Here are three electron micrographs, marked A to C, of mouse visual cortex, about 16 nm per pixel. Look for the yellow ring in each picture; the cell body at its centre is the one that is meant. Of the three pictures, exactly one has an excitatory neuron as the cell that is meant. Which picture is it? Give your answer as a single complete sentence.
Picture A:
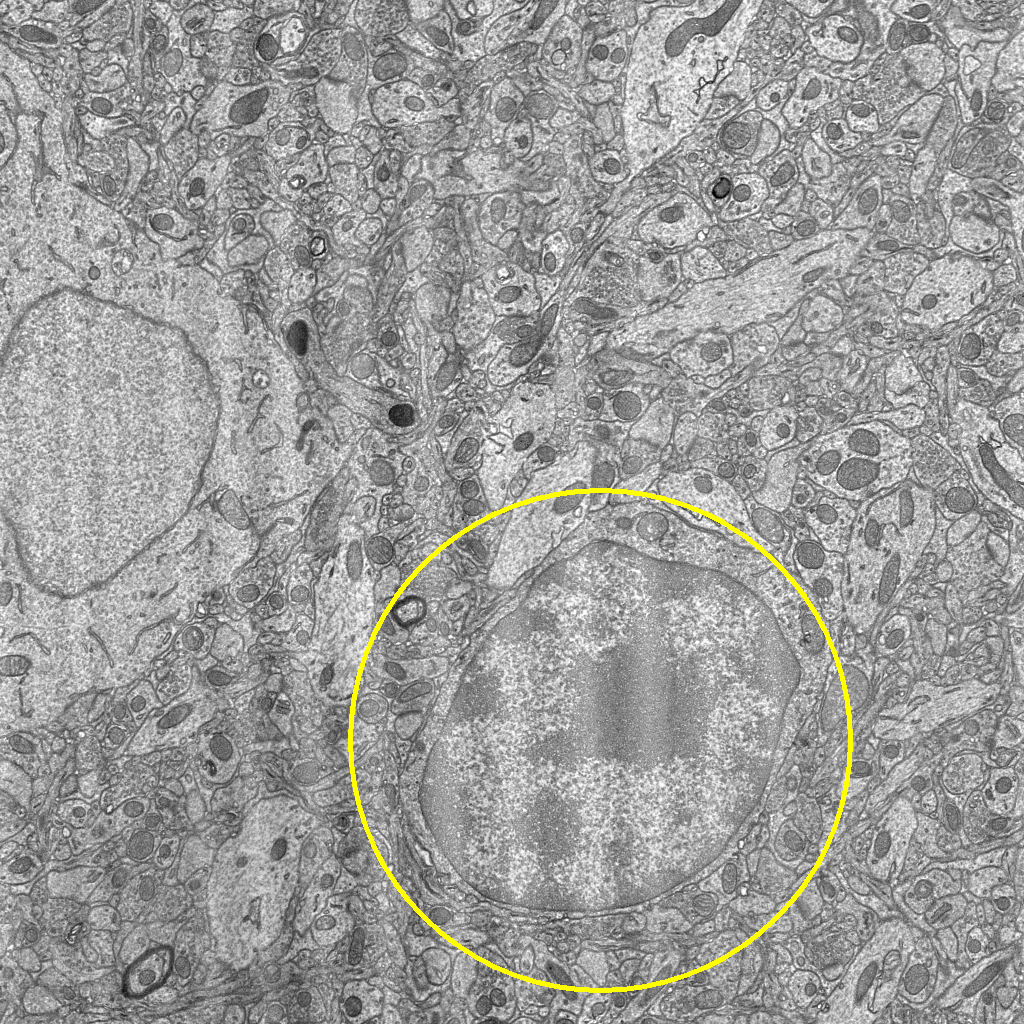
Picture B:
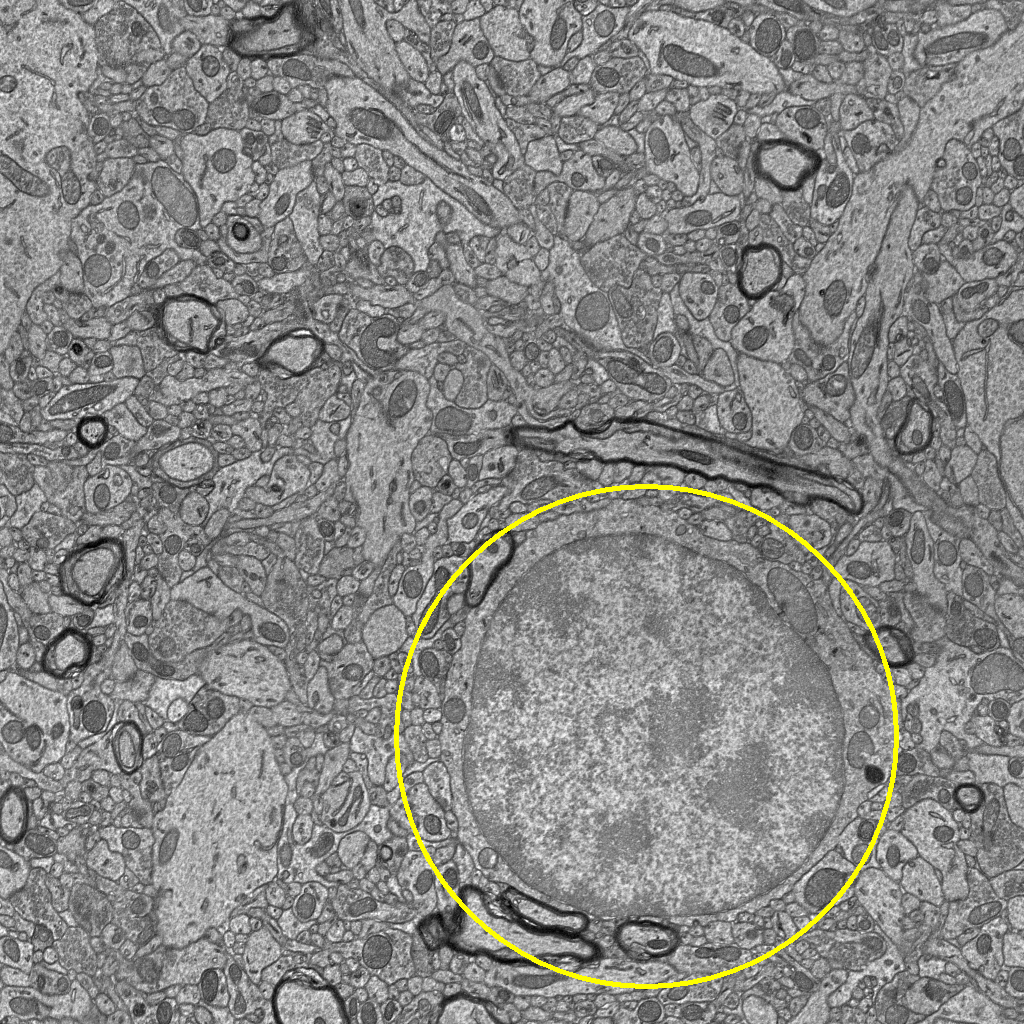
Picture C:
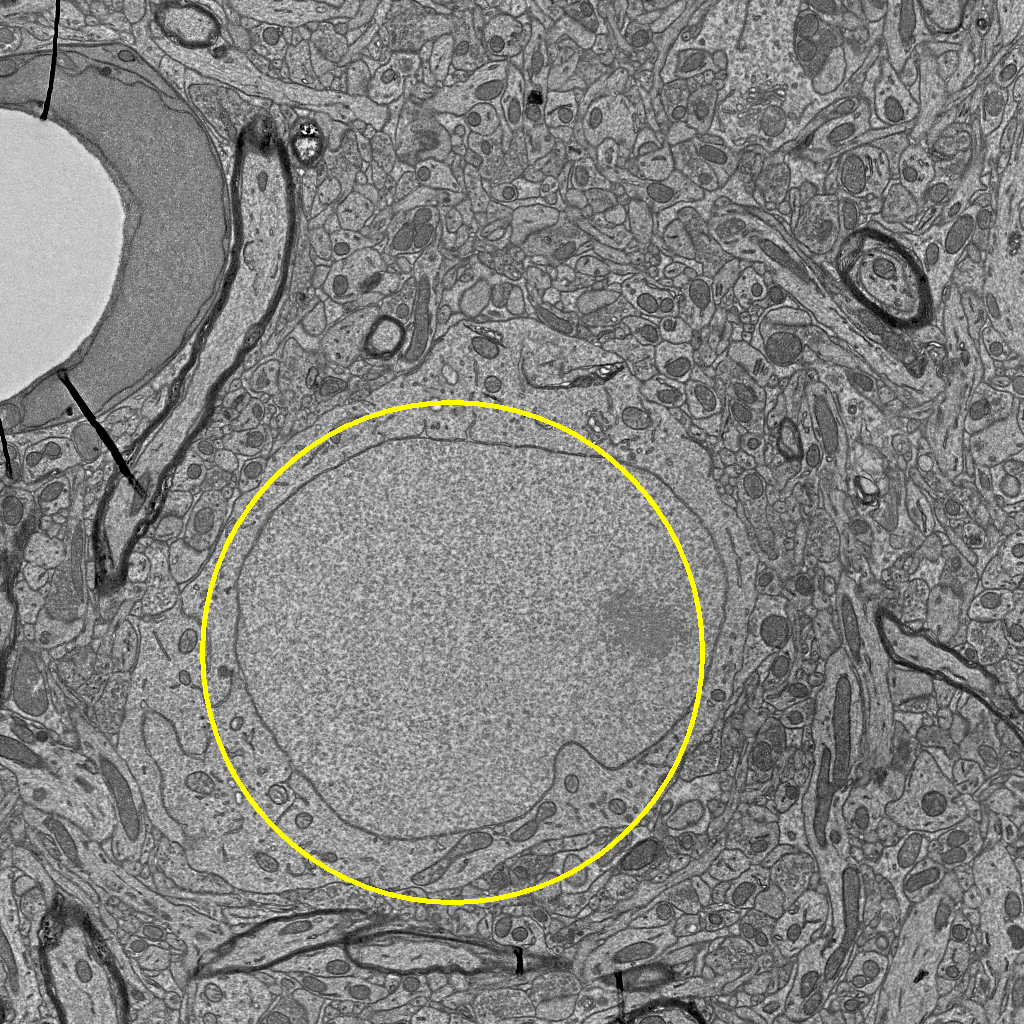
Picture C shows the excitatory neuron.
